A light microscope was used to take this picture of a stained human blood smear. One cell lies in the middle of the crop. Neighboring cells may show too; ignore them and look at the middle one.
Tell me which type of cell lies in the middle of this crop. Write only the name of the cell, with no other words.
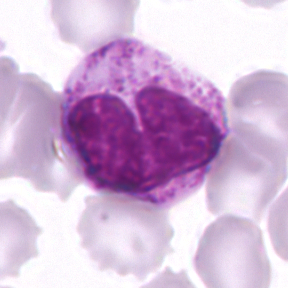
band neutrophil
